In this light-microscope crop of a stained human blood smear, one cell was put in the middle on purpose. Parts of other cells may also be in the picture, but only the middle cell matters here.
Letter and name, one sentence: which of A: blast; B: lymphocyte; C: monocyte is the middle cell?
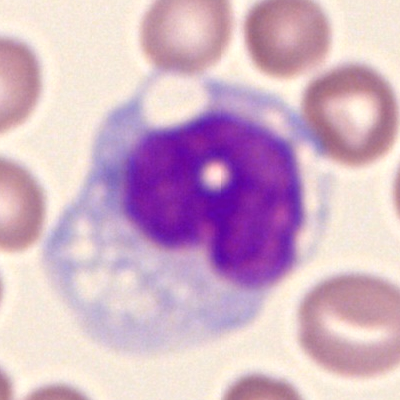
In this crop the middle cell is a monocyte, so option C is the correct answer.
